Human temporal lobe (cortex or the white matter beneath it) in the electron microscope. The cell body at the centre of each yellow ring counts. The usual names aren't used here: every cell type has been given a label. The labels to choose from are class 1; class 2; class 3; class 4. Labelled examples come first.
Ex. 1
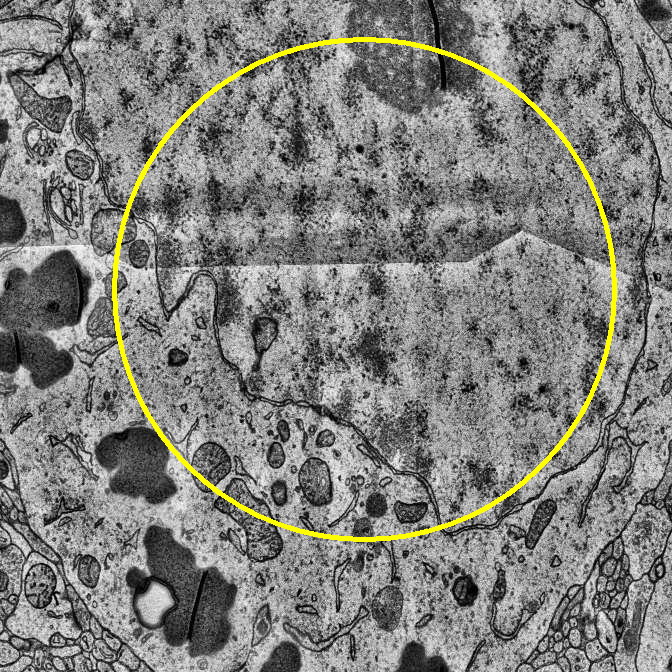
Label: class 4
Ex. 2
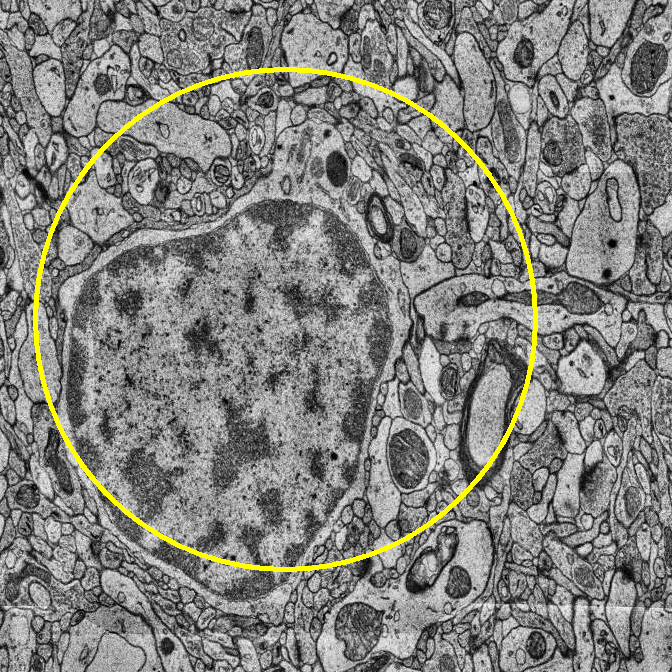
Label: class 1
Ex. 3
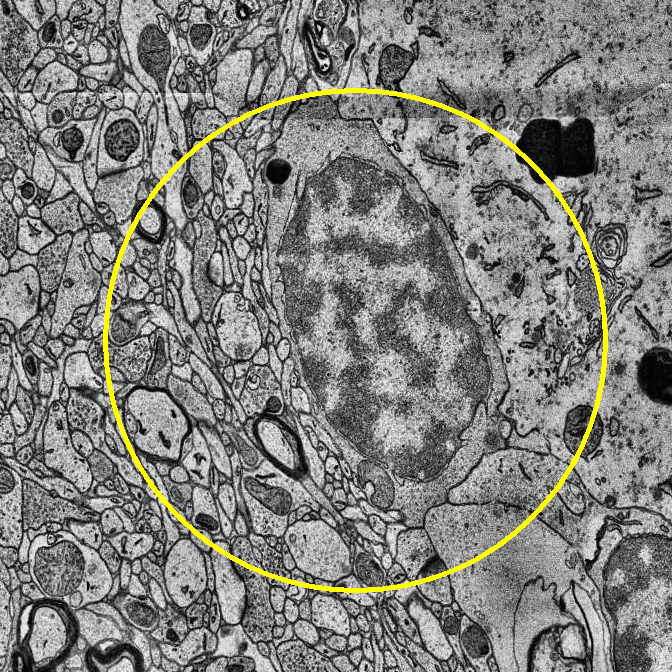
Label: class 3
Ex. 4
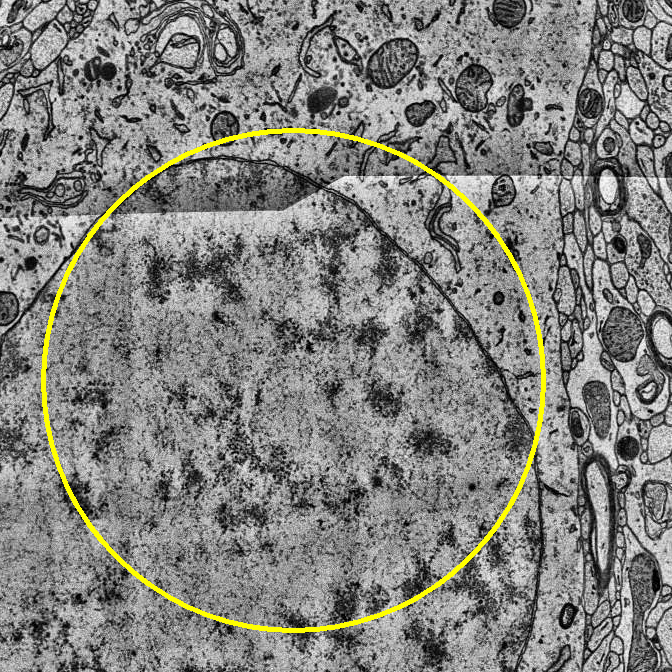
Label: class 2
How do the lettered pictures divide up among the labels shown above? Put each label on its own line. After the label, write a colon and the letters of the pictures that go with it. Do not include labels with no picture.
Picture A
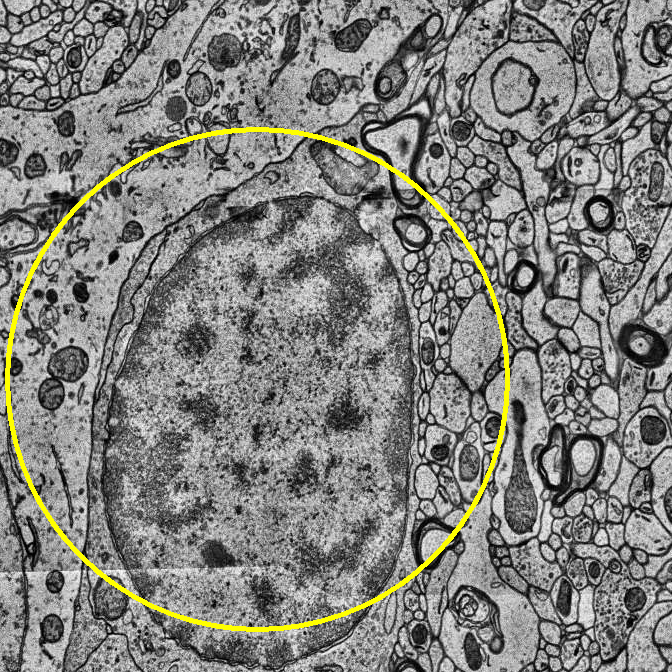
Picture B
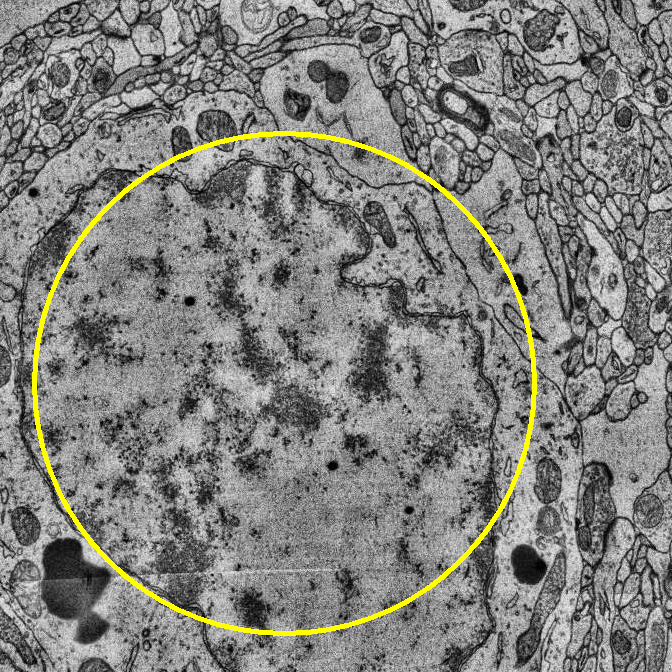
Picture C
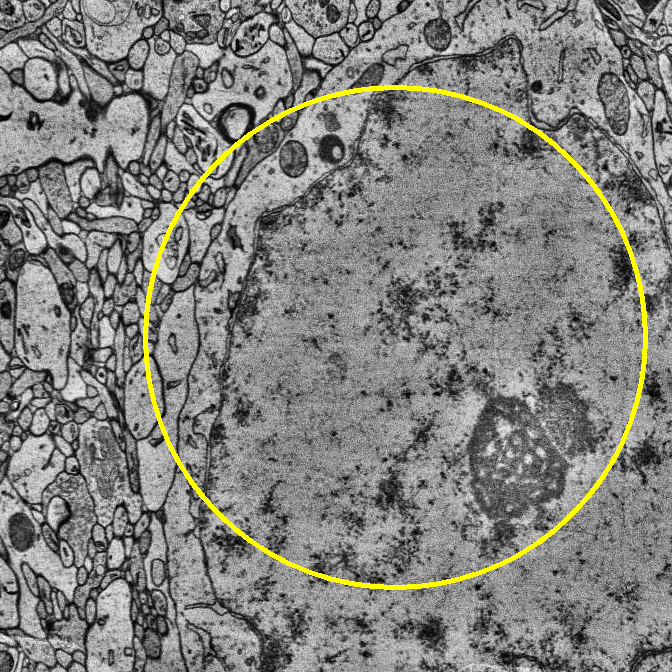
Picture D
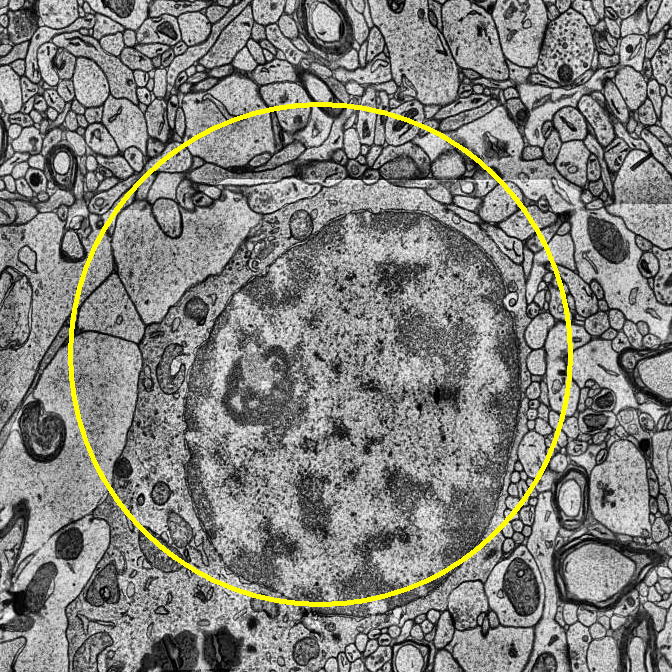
class 3: A, D
class 4: B, C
